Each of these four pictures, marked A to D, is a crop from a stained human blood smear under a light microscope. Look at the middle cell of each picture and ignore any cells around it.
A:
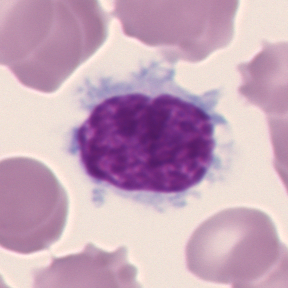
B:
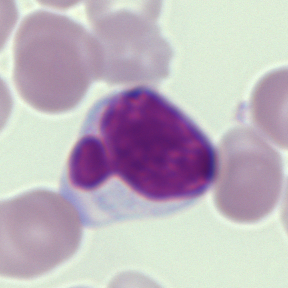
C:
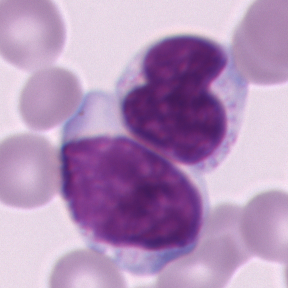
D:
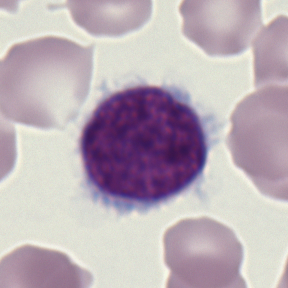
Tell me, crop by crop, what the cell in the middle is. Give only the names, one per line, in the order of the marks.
hairy cell
large granular lymphocyte
large granular lymphocyte
hairy cell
